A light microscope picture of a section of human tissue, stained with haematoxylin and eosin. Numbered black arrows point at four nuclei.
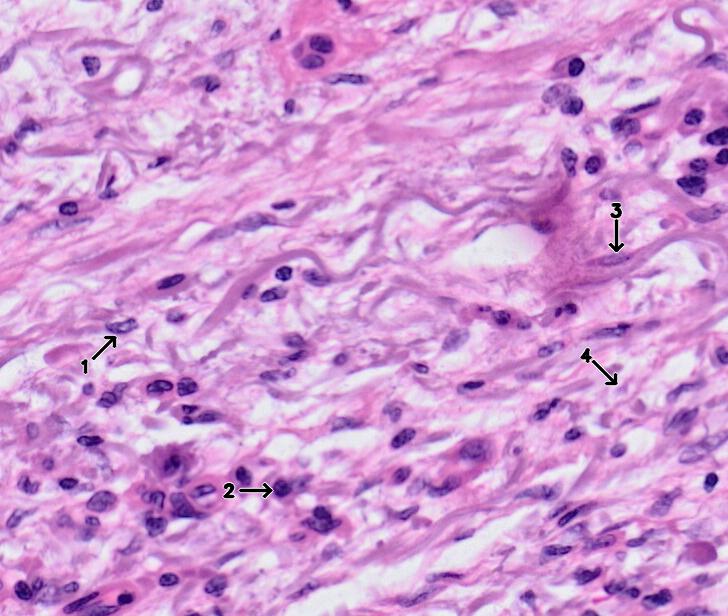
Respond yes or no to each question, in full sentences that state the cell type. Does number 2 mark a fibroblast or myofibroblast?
No, the cell bearing number 2 is not a fibroblast or myofibroblast but a plasma cell.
